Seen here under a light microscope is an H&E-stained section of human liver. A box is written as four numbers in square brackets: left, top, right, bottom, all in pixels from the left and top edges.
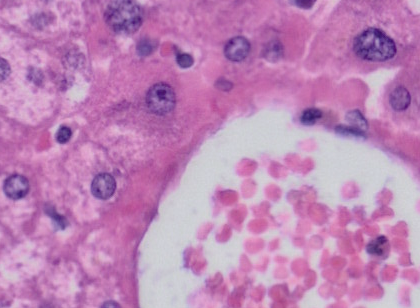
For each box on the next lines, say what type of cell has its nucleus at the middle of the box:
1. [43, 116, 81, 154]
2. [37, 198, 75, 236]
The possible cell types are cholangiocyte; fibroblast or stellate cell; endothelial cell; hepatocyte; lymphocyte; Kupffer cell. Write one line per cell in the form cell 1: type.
cell 1: lymphocyte
cell 2: endothelial cell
